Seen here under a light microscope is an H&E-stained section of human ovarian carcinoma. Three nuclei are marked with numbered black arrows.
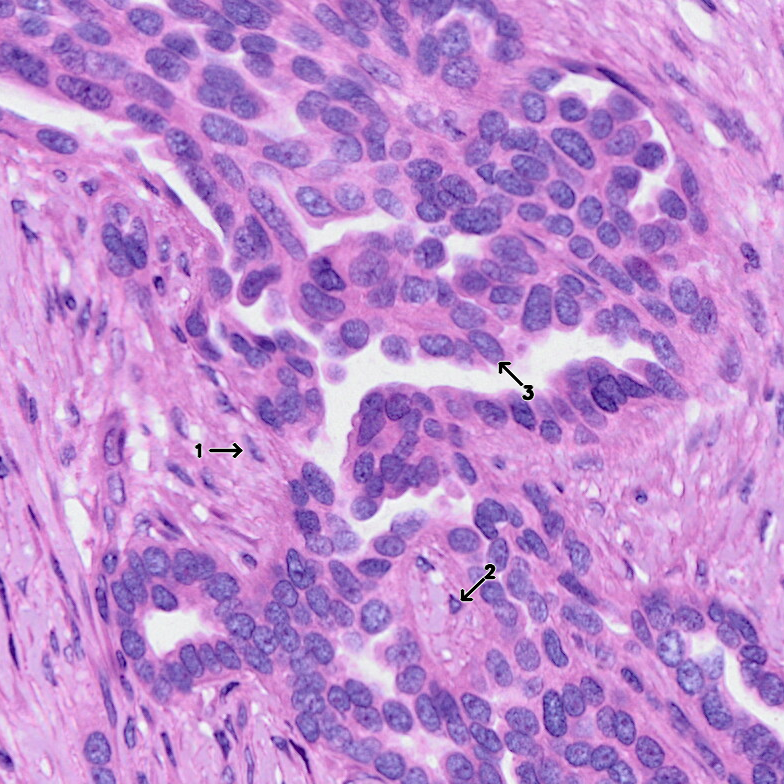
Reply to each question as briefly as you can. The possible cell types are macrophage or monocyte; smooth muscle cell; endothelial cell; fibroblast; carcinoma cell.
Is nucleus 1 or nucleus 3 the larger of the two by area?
3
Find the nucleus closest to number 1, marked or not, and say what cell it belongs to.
carcinoma cell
